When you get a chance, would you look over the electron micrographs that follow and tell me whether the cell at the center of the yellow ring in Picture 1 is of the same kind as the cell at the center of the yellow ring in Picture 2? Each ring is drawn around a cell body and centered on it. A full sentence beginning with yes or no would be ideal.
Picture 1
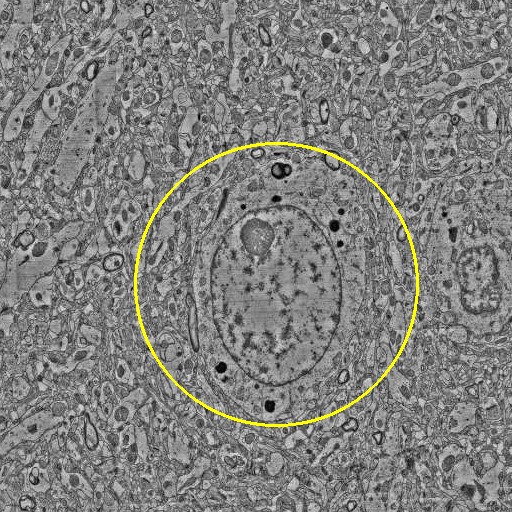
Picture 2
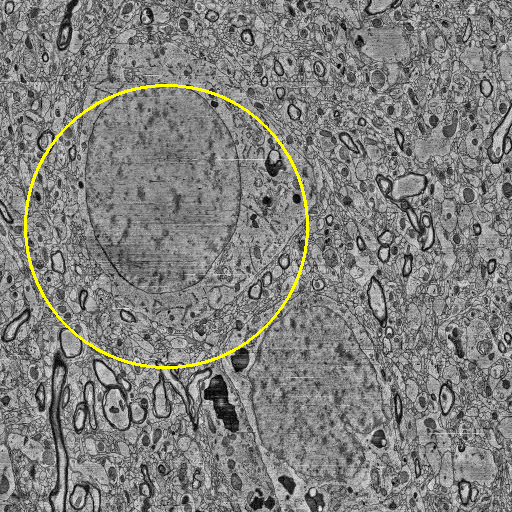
Yes, the two cells are of the same kind.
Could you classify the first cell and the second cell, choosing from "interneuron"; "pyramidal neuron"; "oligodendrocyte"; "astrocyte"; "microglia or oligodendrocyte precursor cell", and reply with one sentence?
Both the first and the second picture show a pyramidal neuron in the ring.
